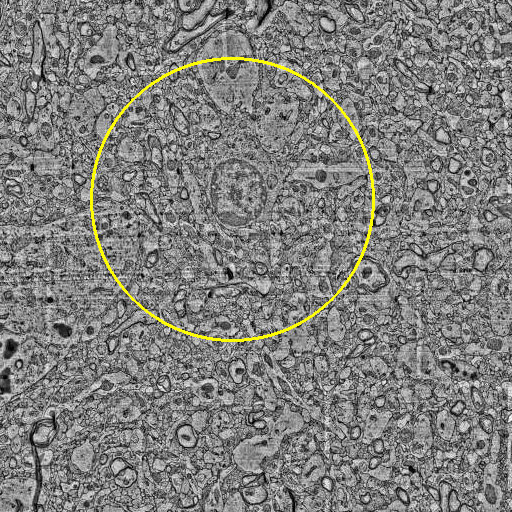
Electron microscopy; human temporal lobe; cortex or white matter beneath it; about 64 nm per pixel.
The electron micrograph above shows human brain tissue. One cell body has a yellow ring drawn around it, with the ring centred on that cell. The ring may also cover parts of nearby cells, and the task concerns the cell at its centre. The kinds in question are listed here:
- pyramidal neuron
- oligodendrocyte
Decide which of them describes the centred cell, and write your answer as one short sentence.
The centred cell is an oligodendrocyte.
